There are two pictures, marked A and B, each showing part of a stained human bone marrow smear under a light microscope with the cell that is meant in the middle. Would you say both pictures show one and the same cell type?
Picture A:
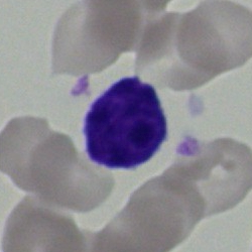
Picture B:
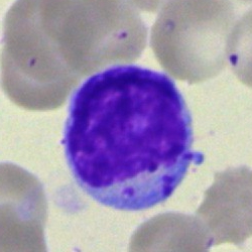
yes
